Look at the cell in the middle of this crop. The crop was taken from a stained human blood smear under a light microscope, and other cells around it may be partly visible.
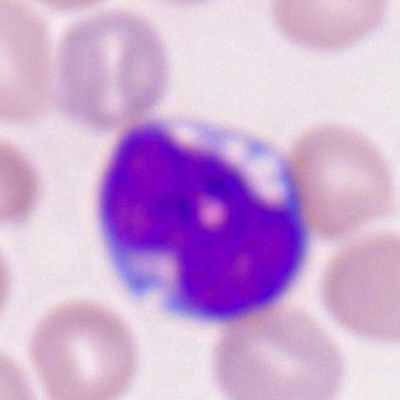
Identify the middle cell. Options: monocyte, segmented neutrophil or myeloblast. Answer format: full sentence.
As for the central cell, it is a myeloblast.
